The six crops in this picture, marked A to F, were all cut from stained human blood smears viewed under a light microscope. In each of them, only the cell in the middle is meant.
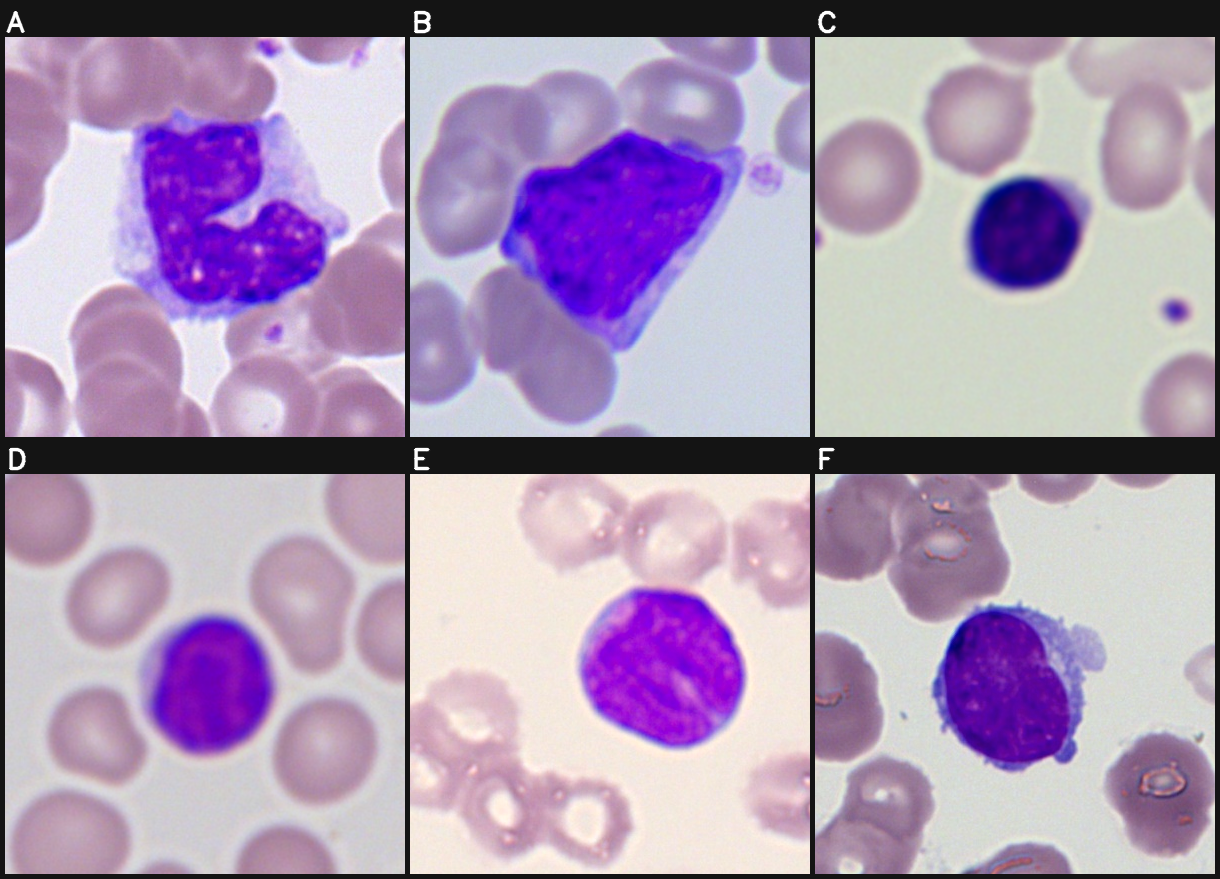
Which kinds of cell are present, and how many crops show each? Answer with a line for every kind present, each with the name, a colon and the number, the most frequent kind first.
lymphocyte: 3
myeloblast: 2
monocyte: 1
